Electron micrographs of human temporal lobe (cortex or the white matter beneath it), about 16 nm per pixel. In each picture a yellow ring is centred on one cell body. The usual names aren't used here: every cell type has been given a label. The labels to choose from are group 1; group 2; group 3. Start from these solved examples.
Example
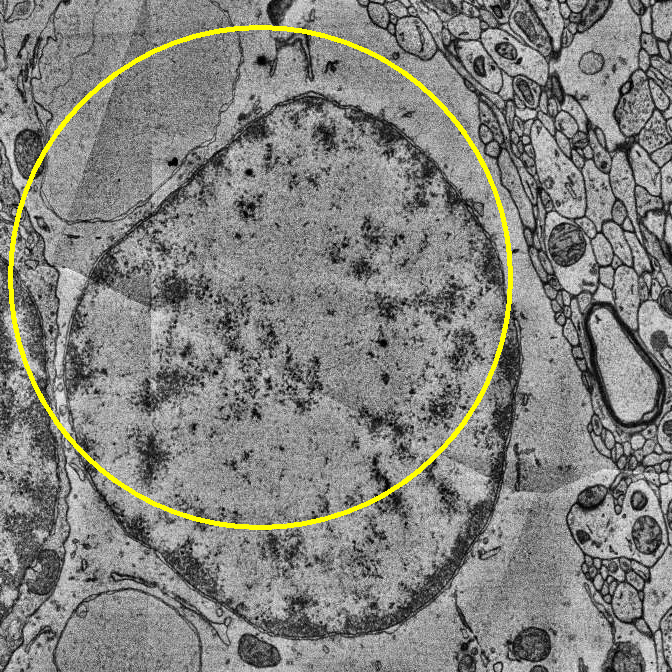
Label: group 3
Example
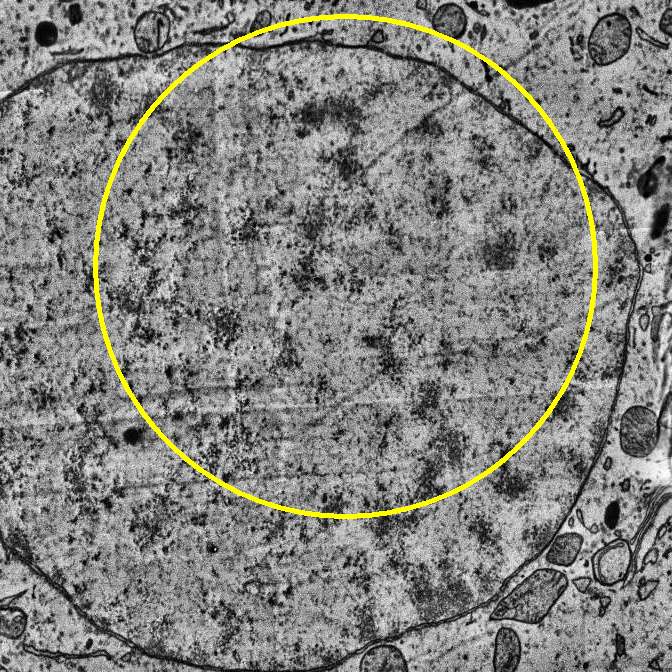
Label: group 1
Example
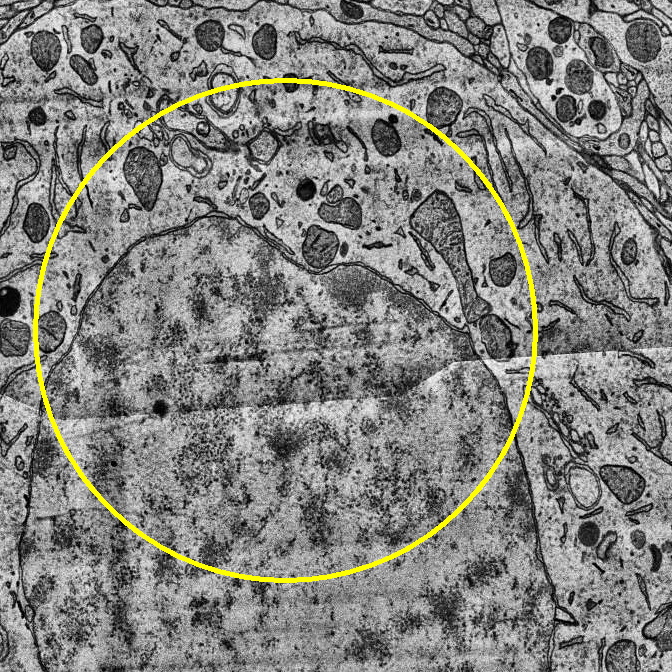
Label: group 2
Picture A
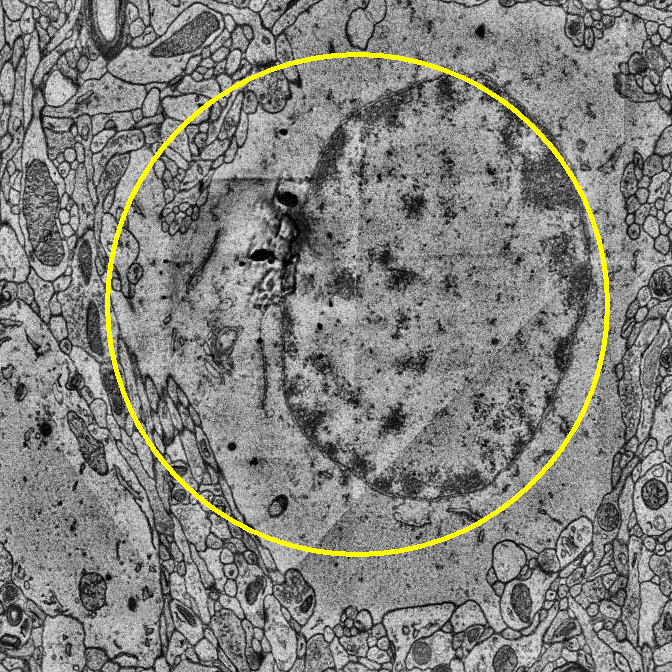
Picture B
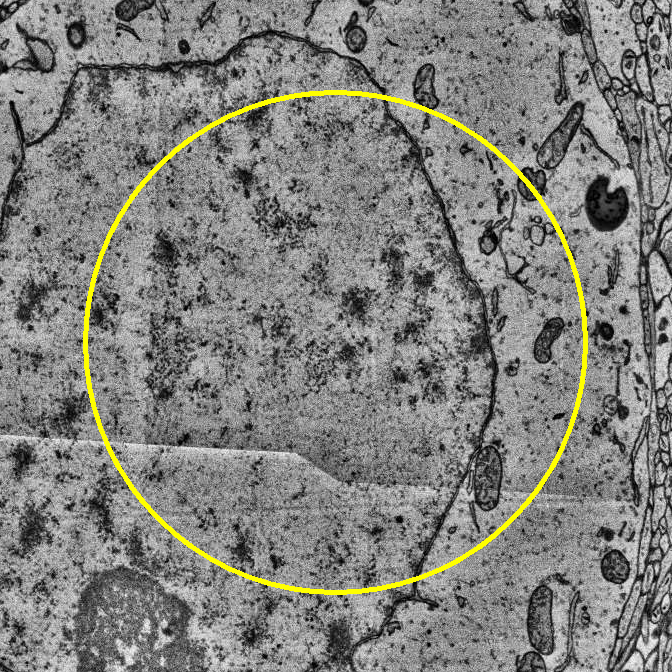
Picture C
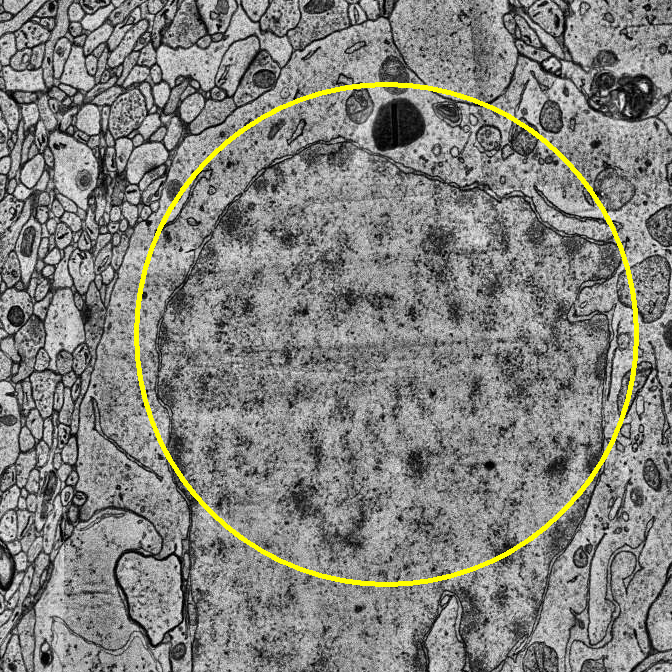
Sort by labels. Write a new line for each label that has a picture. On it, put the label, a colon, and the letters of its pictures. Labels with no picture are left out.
group 1: B
group 2: C
group 3: A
